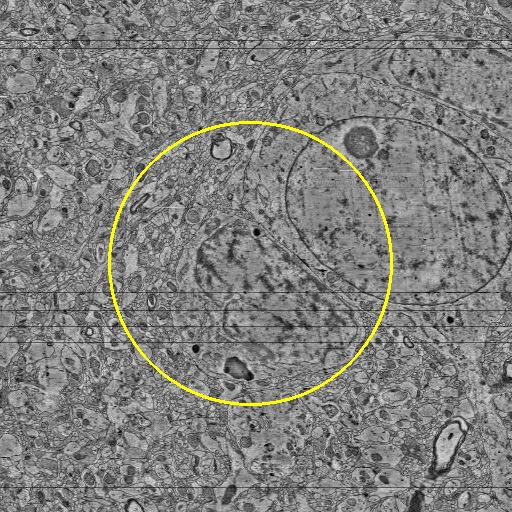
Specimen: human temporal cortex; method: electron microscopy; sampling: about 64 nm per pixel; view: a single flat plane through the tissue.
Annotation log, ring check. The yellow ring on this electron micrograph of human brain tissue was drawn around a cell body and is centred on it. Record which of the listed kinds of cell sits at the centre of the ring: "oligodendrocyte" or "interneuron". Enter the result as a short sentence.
The cell at the centre of the ring is an interneuron.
